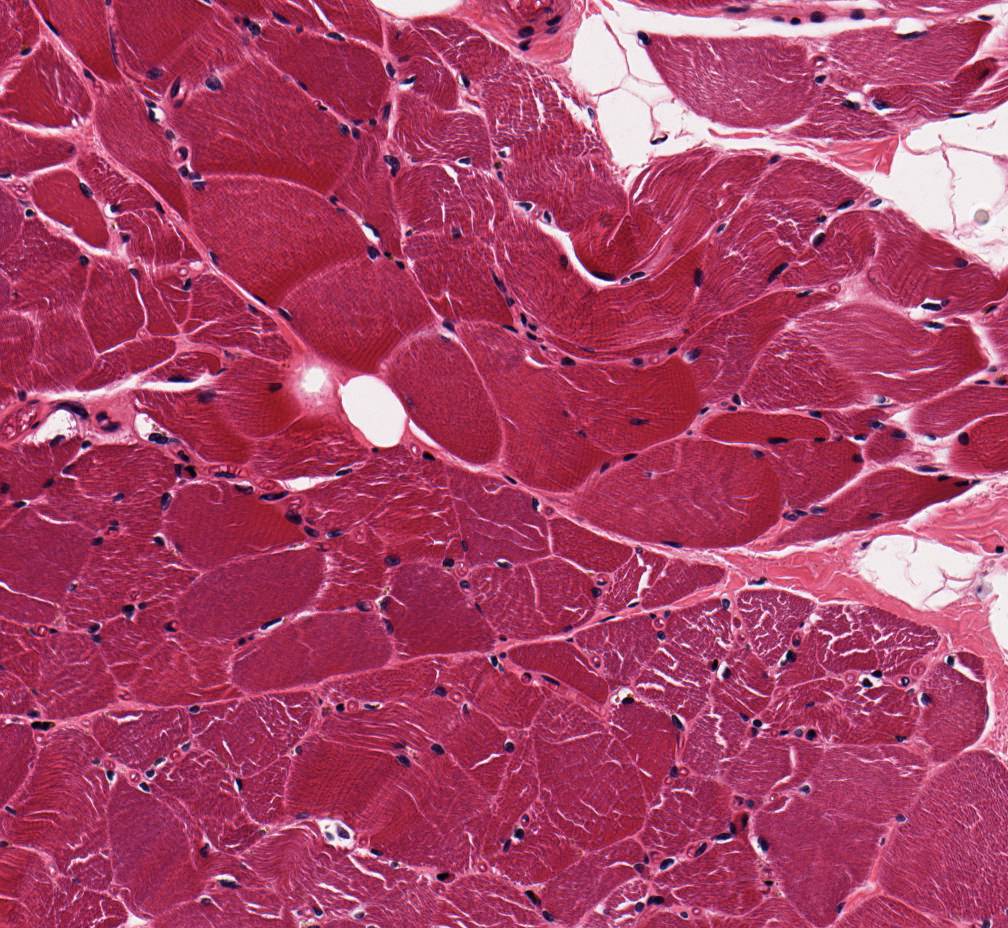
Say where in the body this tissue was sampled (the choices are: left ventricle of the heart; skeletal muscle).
skeletal muscle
